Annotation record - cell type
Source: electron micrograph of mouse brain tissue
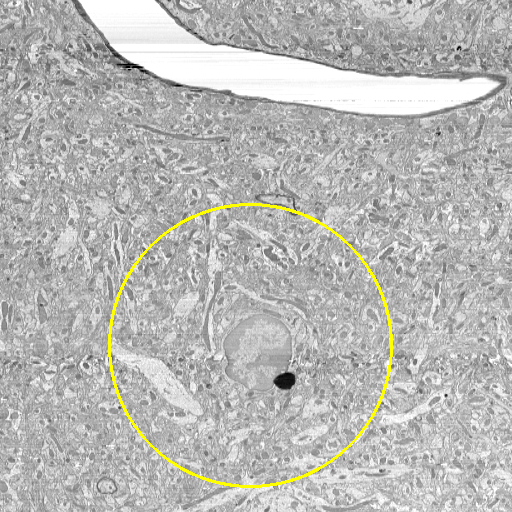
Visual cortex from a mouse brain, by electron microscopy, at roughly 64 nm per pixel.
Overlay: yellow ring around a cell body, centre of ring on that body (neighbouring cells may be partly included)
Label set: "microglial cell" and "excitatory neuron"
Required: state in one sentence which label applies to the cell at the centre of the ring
This cell should be labelled as a microglial cell.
